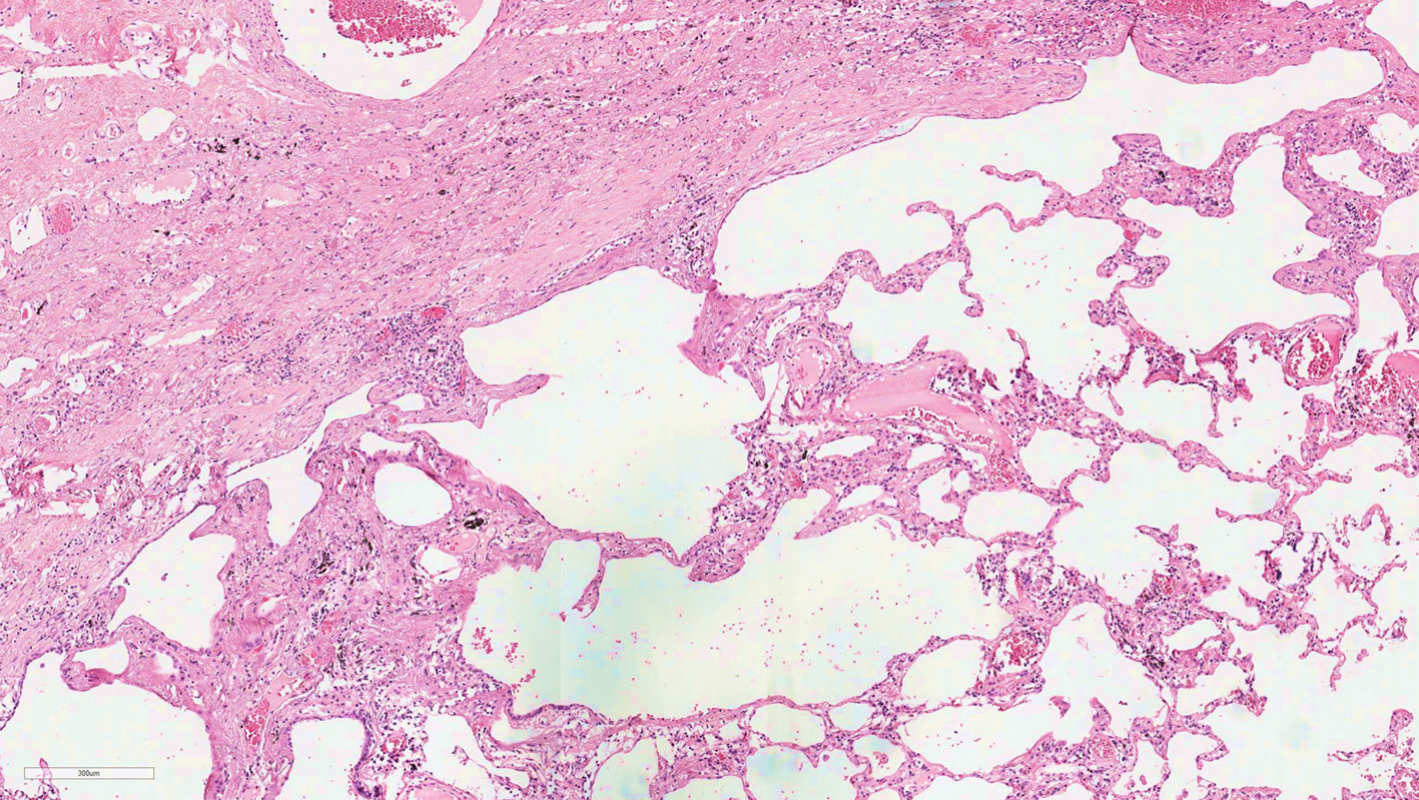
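This is lung tissue in which a broad band of dense, homogeneous pink fibrous tissue runs across the upper left and meets open alveolar parenchyma to the lower right. The fibrous band is compact and evenly eosinophilic, with scattered spindle-shaped nuclei, a few small vessels and a larger vessel filled with red blood cells at the top edge. Nearby septa next to the band are thickened by similar pink fibrous tissue, while farther away the alveolar walls are thin and delicate around wide airspaces. Small clusters of black pigment lie in the fibrous tissue and in the septa, and some capillaries and vessels in the septa are packed with red blood cells. No cellular, loose, pale-staining fibroblast clusters are evident at the border between the fibrous band and the alveoli.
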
